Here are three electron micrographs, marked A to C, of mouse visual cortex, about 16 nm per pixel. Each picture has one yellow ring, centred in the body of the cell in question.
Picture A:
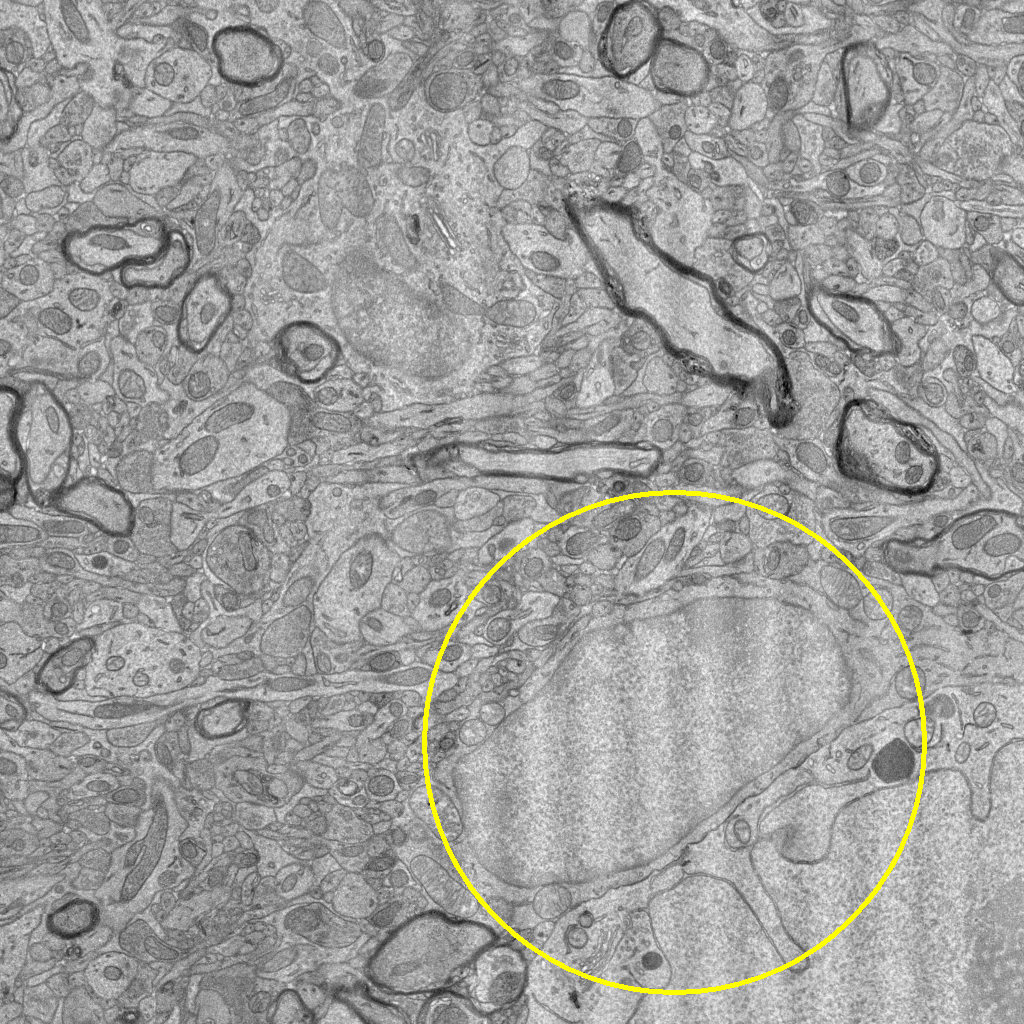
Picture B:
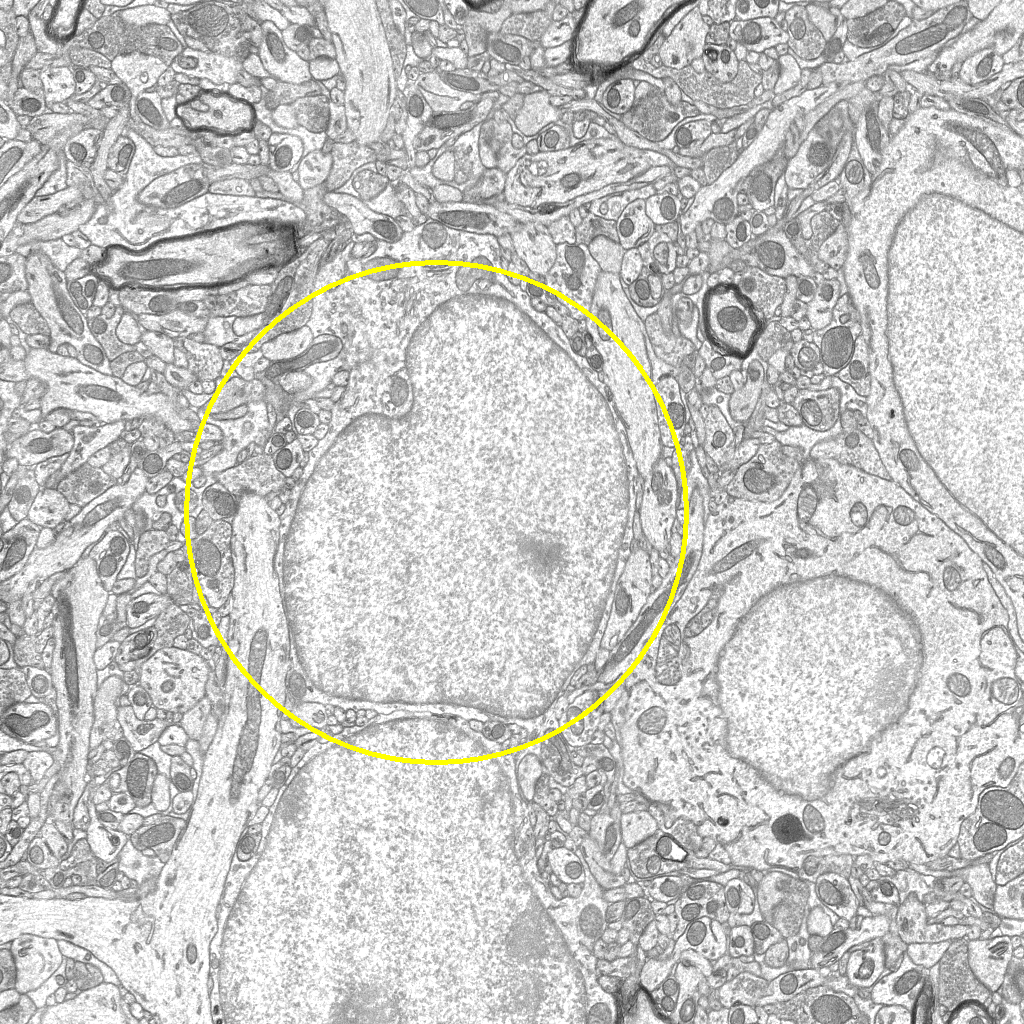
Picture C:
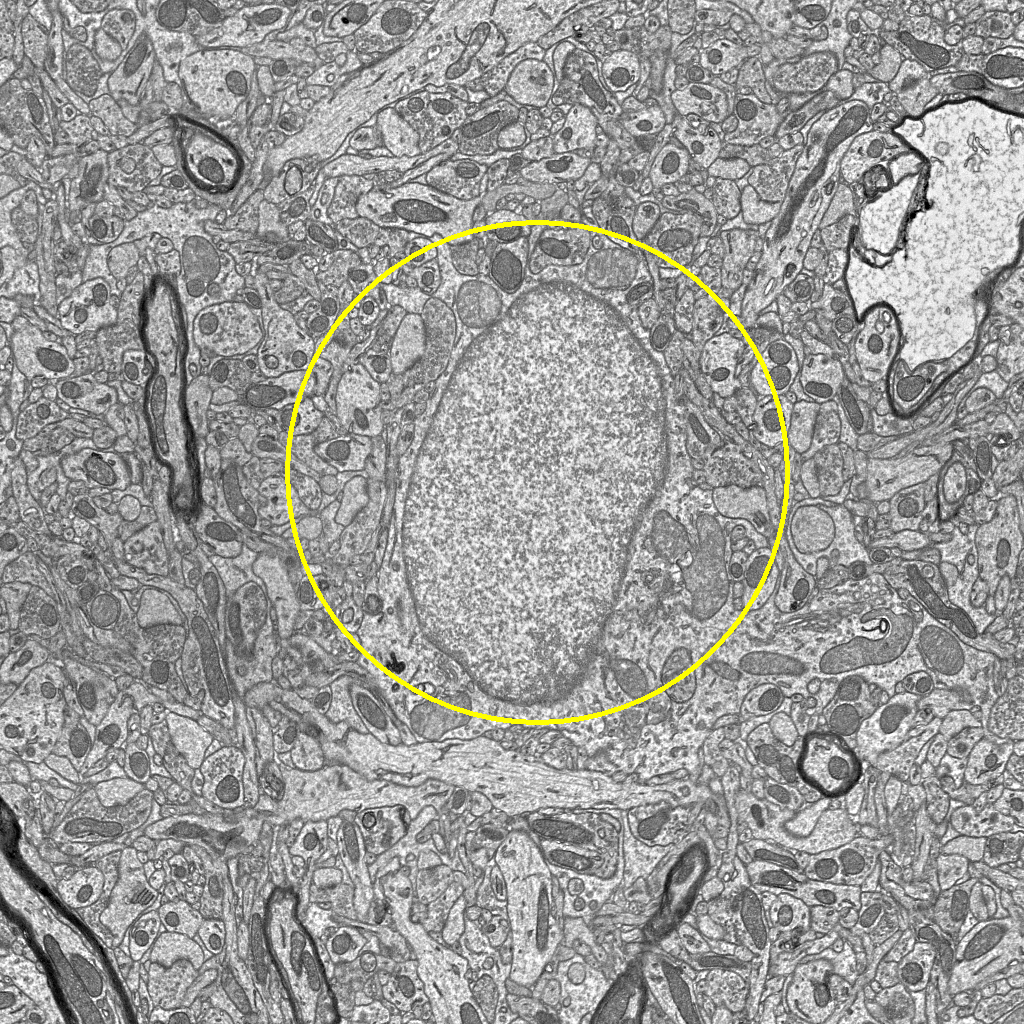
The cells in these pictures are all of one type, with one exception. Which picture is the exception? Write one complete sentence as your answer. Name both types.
All pictures except A show astrocytes; picture A shows an oligodendrocyte.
